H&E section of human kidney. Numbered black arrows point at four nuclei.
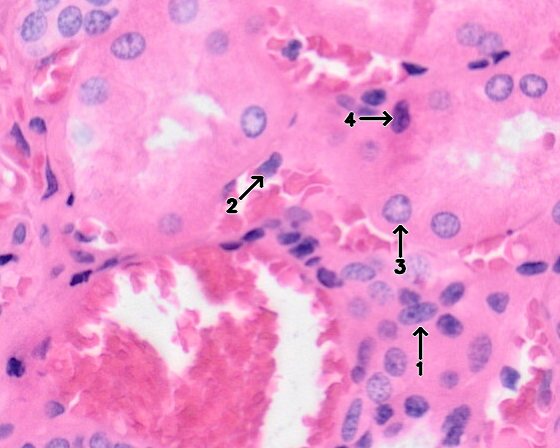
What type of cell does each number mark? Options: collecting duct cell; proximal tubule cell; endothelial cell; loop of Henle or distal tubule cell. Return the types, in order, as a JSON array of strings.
["collecting duct cell", "endothelial cell", "proximal tubule cell", "proximal tubule cell"]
